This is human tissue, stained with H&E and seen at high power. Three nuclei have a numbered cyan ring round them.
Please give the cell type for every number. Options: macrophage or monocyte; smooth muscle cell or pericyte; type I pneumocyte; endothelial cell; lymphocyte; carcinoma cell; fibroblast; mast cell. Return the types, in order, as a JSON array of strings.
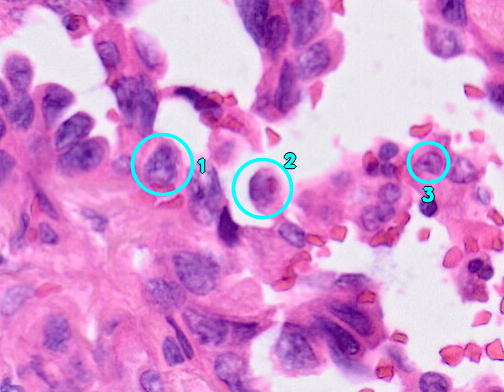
["carcinoma cell", "carcinoma cell", "macrophage or monocyte"]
